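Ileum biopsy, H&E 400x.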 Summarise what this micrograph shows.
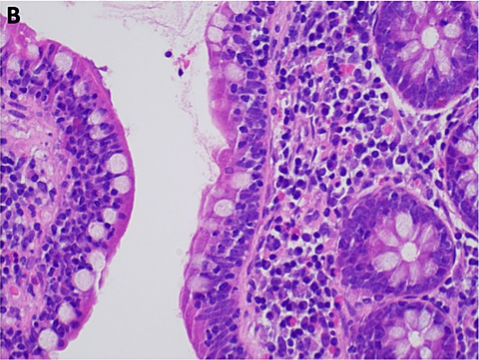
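Small intestinal mucosa with a columnar surface epithelium containing goblet cells and numerous small dark round lymphocyte nuclei lying between the epithelial cells. Crypts in cross section show goblet cells arranged in rosettes around a small lumen.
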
